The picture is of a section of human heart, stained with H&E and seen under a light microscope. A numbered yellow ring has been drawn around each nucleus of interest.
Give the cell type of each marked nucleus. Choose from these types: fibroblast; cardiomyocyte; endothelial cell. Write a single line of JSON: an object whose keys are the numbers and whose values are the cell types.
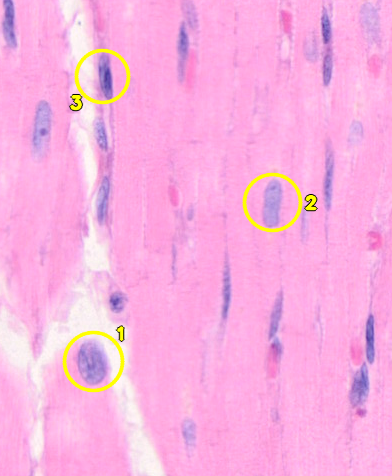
{"1": "cardiomyocyte", "2": "cardiomyocyte", "3": "endothelial cell"}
